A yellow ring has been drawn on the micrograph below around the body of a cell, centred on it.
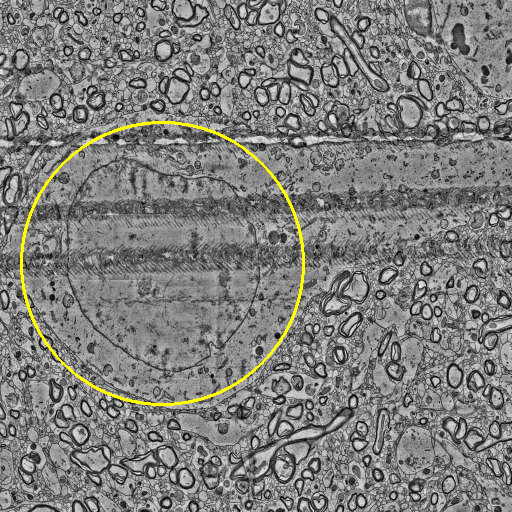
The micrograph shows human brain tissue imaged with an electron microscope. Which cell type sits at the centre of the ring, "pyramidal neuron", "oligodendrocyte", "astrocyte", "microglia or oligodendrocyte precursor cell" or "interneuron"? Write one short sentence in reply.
The cell sitting at the centre of the ring is a pyramidal neuron.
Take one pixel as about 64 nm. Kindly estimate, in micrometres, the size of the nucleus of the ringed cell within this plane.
About 14 by 12 micrometres in this plane.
